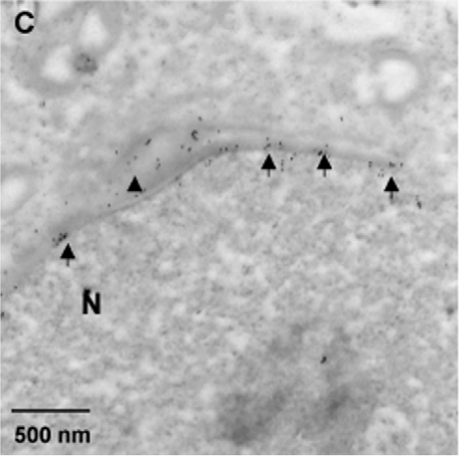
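A pale, finely granular nucleus occupies most of the lower field. Across its upper border stretches a thin, slightly denser curved band, thickening a little toward the left, set directly on the nuclear edge. Tiny black dots are strung along this band and scattered just above it, while the nucleus itself and the surrounding cytoplasm carry few. The cell is a spermatid, and the curved band is a developing acrosome forming a cap over the nucleus, with the labelling concentrated in this acrosomic region next to the nuclear membrane.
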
